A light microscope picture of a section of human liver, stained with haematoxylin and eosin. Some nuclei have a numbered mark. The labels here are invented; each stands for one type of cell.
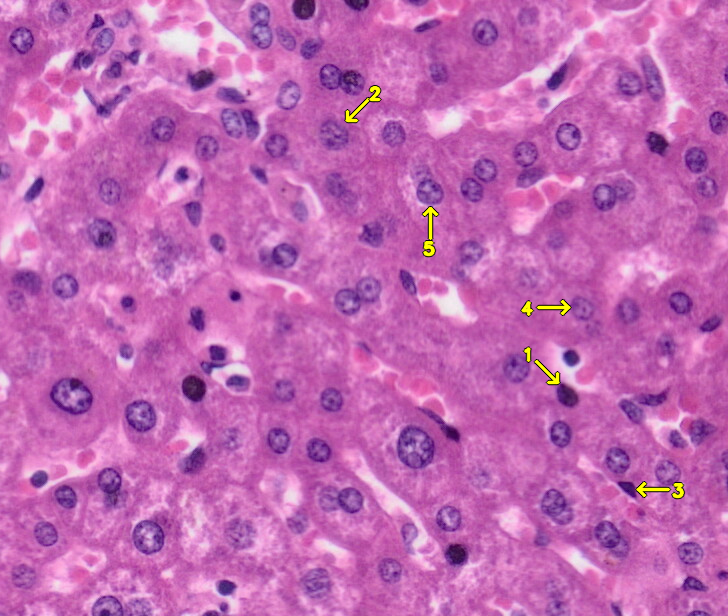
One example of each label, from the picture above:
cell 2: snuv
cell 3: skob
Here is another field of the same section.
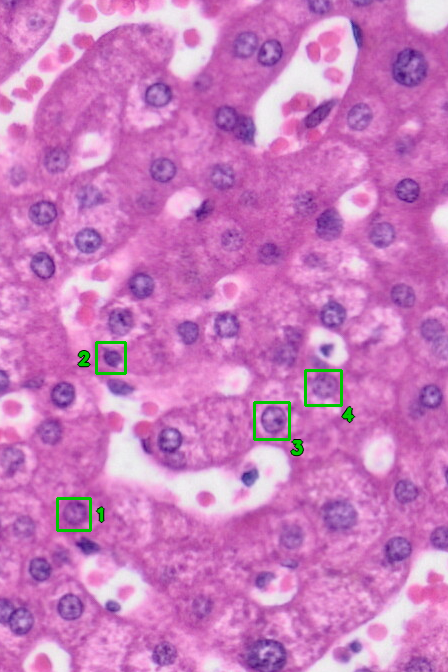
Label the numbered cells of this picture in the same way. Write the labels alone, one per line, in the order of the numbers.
snuv
skob
snuv
snuv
